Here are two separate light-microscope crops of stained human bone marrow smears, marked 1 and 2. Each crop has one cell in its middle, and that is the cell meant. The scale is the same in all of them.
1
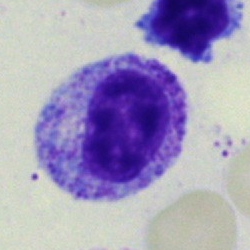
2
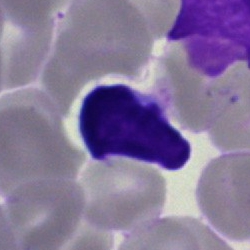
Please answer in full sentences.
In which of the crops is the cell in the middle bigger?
It is the cell in crop 1, about 2.5 times as large in area as the cell in crop 2.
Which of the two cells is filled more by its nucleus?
In crop 2 the nucleus takes up the larger part of its cell.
